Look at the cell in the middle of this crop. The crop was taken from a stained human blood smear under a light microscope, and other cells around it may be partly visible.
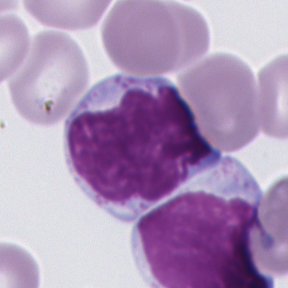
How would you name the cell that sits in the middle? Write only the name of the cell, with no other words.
large granular lymphocyte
